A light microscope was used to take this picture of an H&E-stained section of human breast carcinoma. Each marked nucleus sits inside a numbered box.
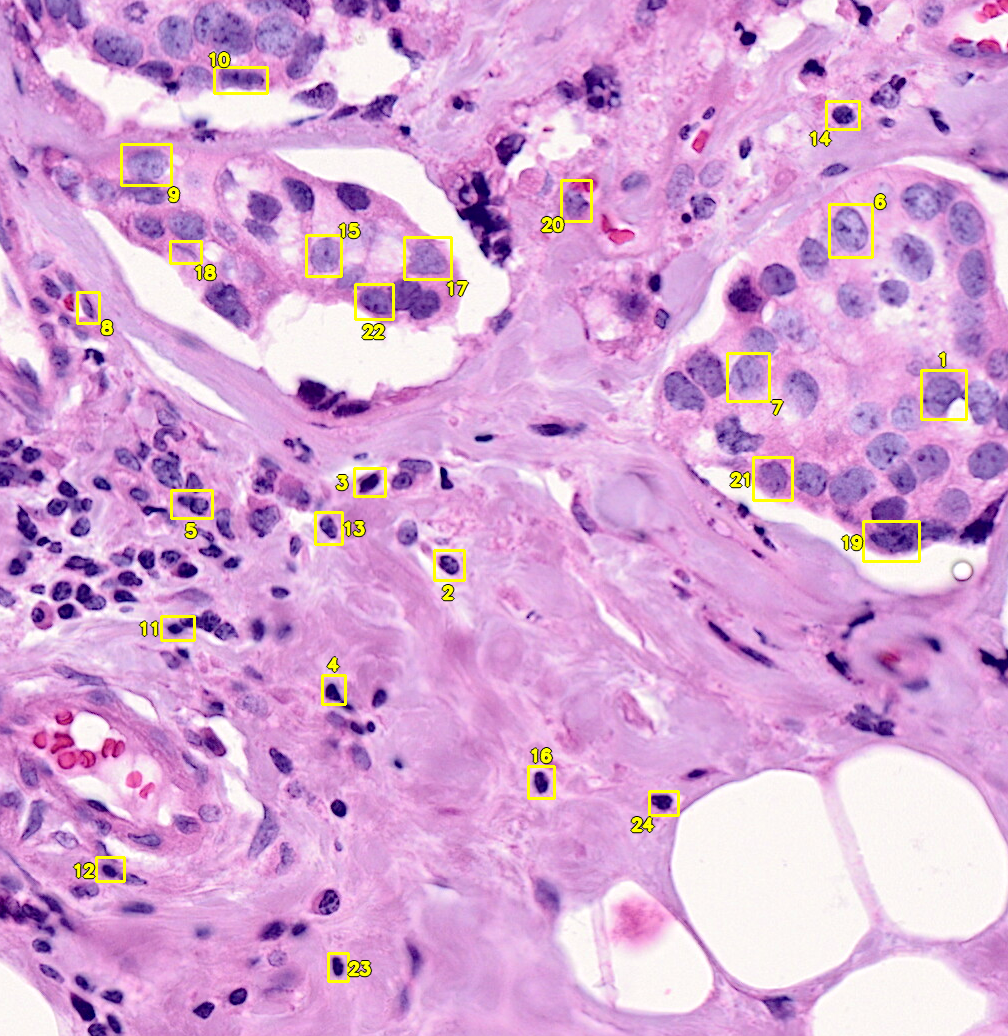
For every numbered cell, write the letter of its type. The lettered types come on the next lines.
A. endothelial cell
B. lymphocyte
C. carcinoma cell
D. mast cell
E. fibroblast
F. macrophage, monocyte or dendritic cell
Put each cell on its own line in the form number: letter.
1: C
2: B
3: B
4: B
5: B
6: C
7: C
8: A
9: C
10: C
11: B
12: B
13: B
14: B
15: C
16: B
17: C
18: C
19: C
20: A
21: C
22: C
23: B
24: B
